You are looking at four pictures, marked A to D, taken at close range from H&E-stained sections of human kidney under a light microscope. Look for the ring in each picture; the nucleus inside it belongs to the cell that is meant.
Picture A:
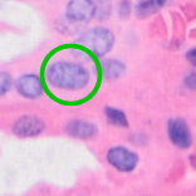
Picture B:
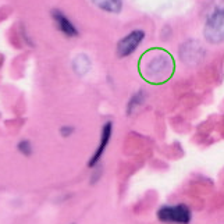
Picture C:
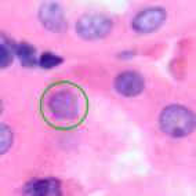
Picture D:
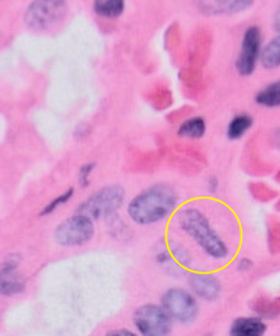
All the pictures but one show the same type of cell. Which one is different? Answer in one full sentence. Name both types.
The different one is picture C; it shows a proximal tubule cell, whereas all the others show collecting duct cells.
